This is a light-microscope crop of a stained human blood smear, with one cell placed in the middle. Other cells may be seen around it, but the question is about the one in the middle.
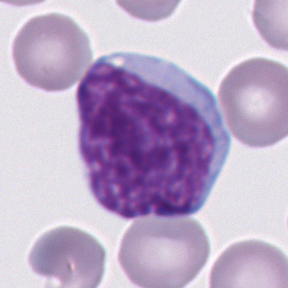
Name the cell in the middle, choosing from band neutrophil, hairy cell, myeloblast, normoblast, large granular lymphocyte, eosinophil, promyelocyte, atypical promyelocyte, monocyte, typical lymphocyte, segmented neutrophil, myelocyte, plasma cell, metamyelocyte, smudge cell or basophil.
myeloblast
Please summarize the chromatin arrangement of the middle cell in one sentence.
Chromatin in the nucleus here is coarsely clumped.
